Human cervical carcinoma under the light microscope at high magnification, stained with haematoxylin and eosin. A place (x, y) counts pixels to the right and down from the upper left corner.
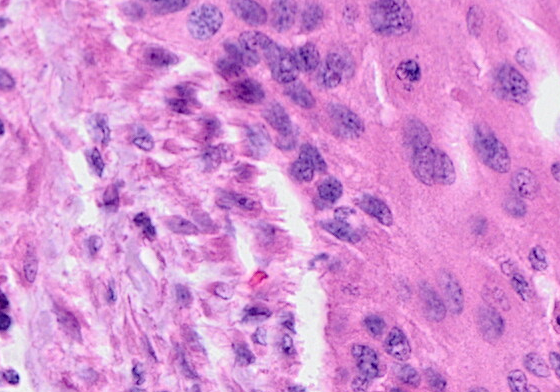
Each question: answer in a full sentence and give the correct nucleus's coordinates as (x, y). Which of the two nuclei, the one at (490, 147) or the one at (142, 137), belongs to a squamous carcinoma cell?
As for which of the two, the nucleus at (490, 147) belongs to a squamous carcinoma cell.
